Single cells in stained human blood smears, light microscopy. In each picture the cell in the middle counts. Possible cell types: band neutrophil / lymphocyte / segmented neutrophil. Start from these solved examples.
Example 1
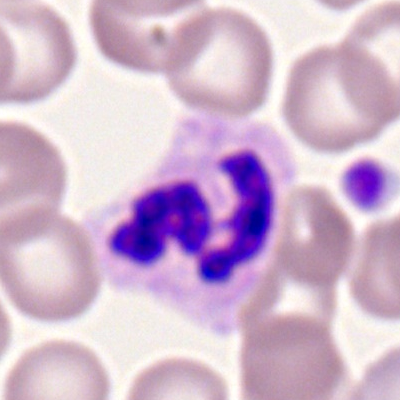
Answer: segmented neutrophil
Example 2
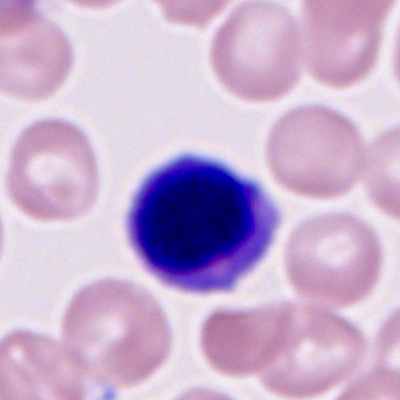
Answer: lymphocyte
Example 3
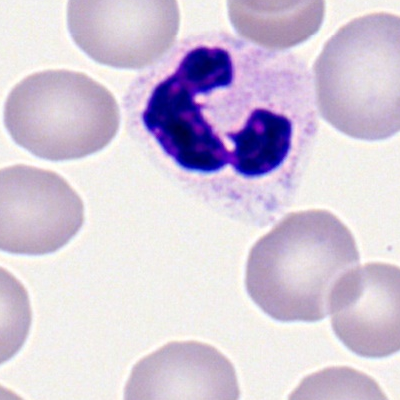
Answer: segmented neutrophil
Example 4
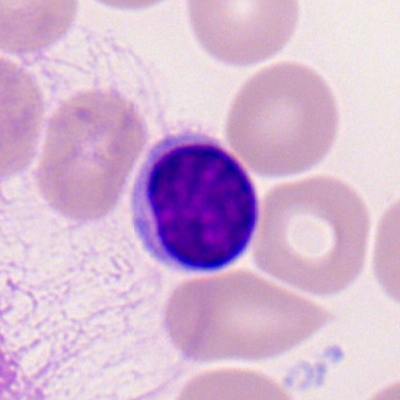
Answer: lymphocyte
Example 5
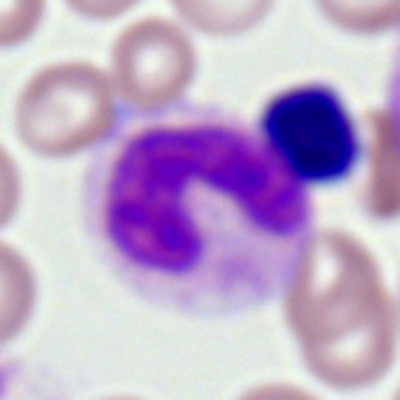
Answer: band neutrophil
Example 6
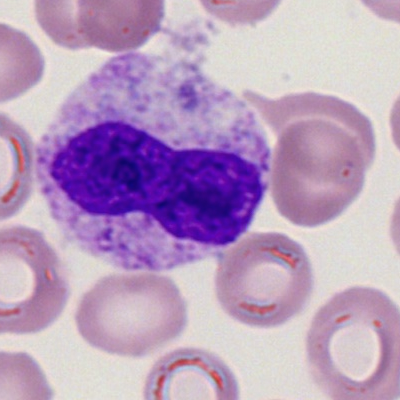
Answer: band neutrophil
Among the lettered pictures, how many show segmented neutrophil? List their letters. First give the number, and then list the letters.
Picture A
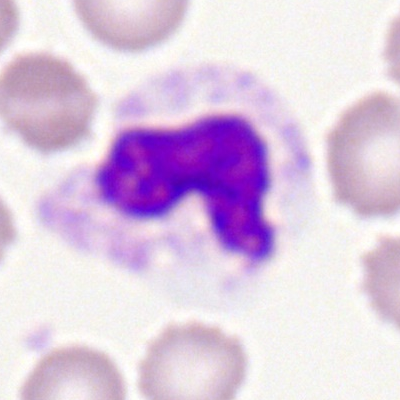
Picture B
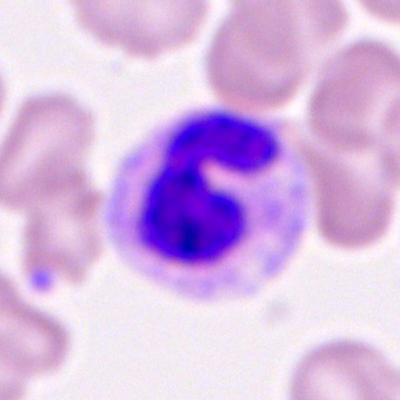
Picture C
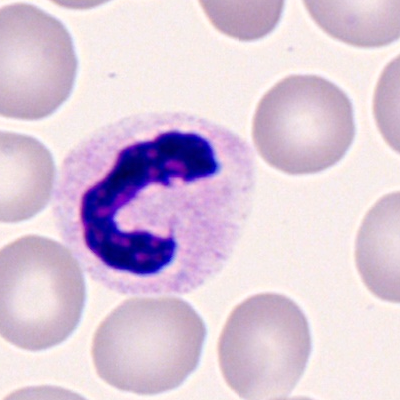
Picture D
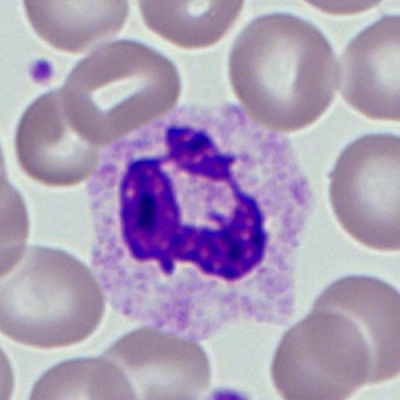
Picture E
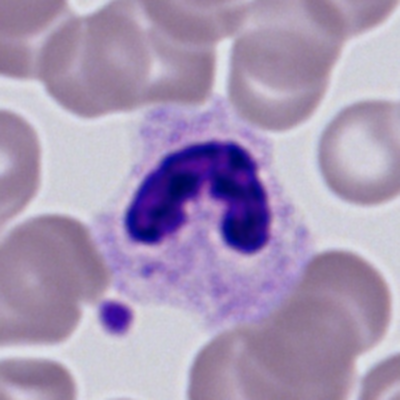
1, namely D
